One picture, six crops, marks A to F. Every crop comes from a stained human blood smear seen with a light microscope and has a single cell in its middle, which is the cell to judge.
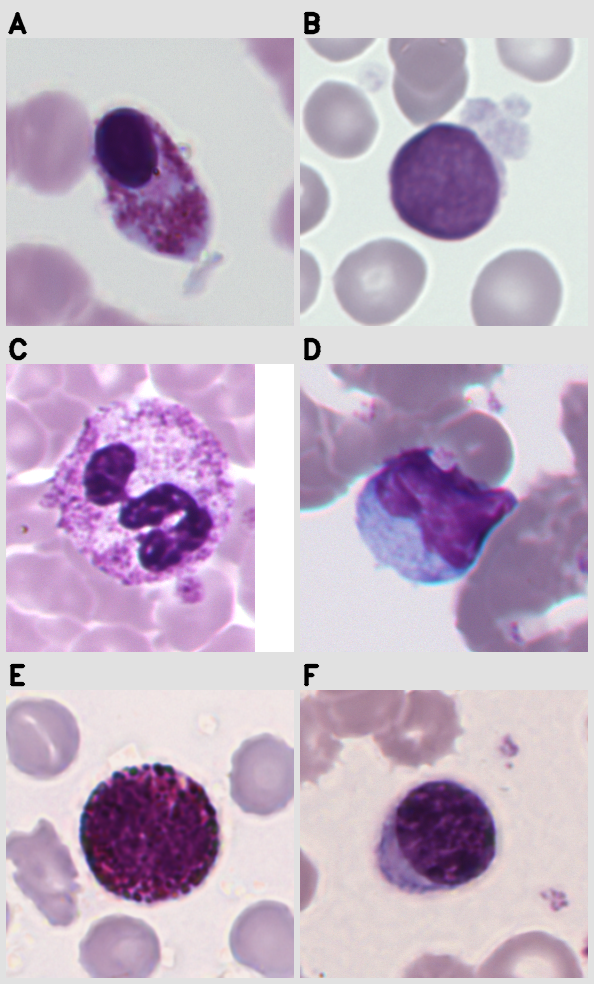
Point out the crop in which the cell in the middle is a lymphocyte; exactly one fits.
D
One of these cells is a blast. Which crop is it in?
B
